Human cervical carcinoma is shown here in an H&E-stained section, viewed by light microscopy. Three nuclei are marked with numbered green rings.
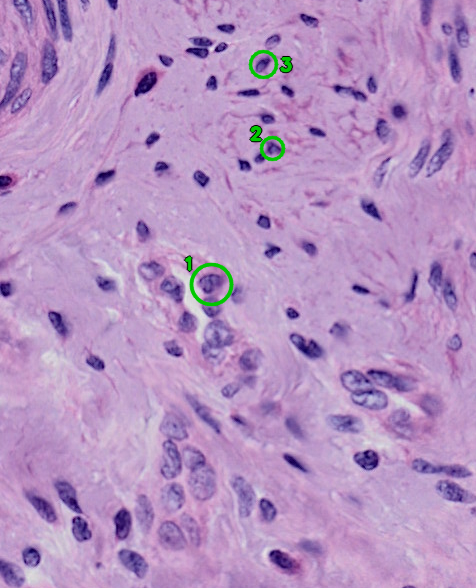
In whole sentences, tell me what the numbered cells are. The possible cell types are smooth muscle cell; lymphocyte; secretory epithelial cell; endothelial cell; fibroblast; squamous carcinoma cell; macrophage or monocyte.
Cell 1 is an endothelial cell, cell 2 is a smooth muscle cell and cell 3 is a smooth muscle cell.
